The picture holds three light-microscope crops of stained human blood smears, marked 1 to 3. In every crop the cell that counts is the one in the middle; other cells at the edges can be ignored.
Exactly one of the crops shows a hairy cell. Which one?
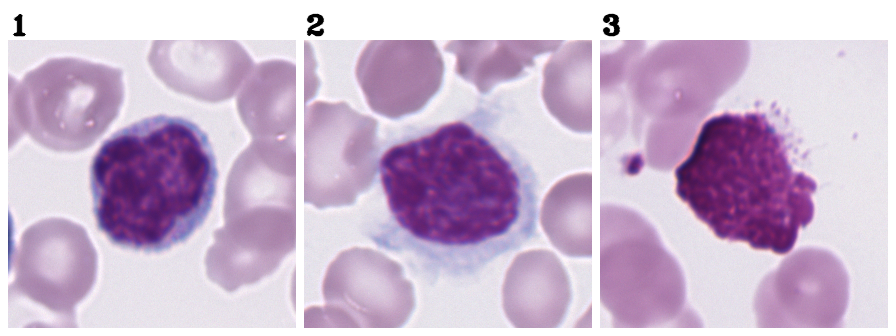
2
